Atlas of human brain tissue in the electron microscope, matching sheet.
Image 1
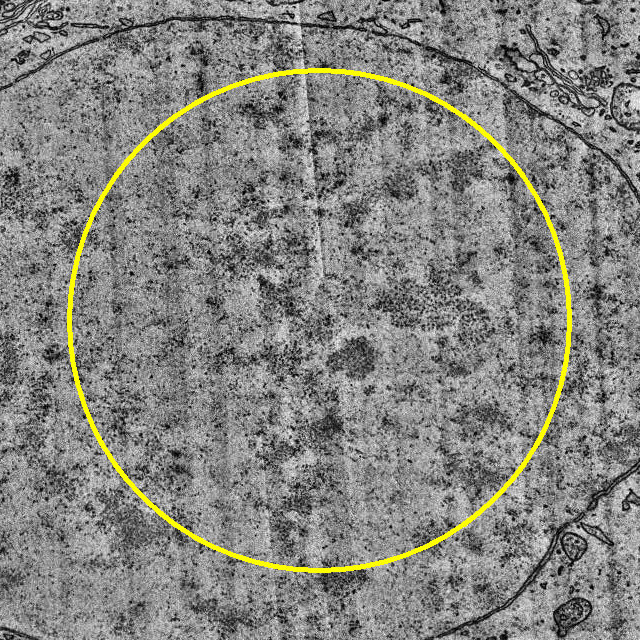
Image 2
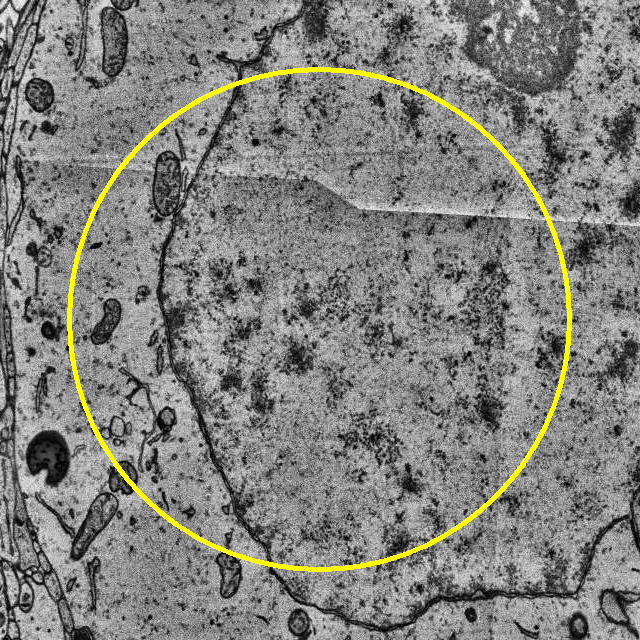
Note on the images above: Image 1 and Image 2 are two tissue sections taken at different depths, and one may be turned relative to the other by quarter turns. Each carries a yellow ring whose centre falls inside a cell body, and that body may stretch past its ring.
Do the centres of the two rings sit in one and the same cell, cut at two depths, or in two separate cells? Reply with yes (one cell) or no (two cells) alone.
no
